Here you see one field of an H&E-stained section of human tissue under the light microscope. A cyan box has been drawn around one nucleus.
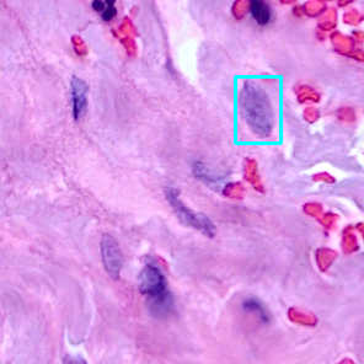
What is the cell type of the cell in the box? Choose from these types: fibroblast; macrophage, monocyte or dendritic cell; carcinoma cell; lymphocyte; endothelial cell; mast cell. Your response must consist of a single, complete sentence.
As far as its identity is concerned, the cell in the box is a fibroblast.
